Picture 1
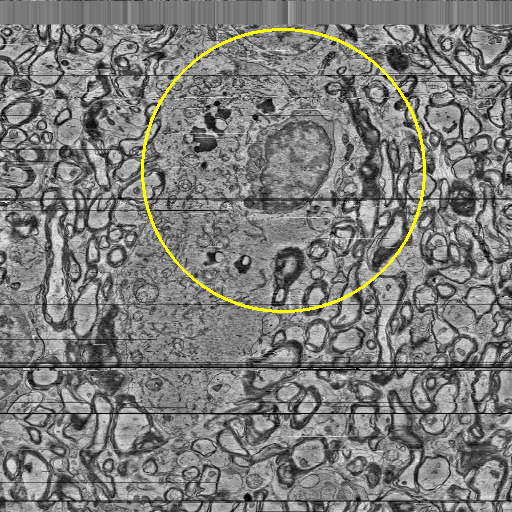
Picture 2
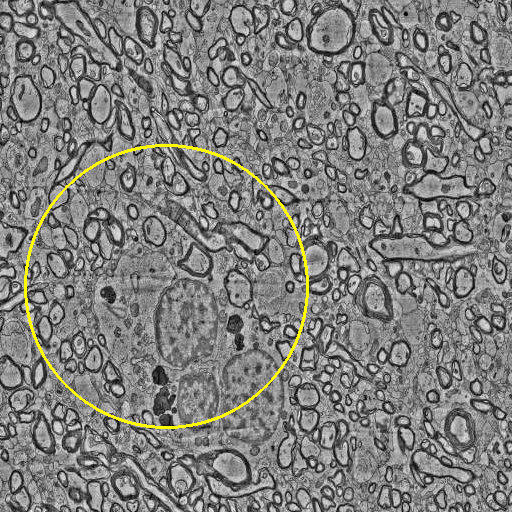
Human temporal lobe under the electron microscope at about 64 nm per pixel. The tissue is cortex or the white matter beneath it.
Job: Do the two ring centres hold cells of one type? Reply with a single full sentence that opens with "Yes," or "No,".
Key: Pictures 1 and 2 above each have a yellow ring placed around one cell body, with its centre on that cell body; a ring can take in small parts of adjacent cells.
Yes, the cells at the two ring centres are of one single type.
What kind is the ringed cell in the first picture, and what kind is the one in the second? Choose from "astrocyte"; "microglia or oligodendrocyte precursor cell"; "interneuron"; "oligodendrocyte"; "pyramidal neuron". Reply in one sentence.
Each cell, in the first picture and the second, is an oligodendrocyte.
